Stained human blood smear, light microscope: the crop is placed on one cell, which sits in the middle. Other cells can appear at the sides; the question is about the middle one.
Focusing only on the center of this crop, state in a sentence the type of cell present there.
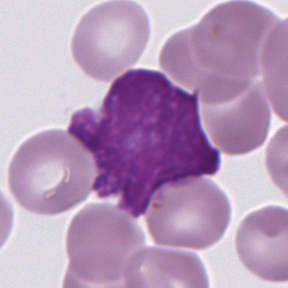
The cell centered in this field of view is a smudge cell.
